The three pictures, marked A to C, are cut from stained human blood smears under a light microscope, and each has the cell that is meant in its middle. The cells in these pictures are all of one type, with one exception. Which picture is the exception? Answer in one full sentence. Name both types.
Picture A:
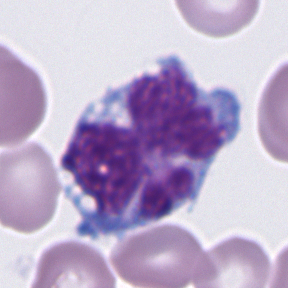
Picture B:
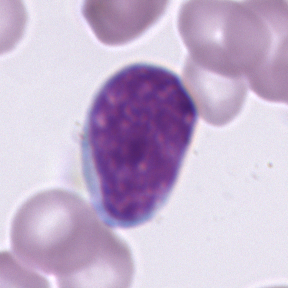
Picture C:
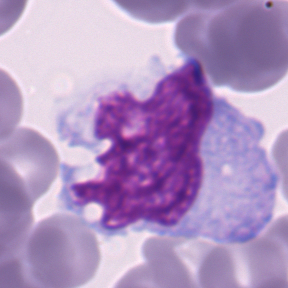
Unlike the rest, which show monocytes, picture B shows a myeloblast.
